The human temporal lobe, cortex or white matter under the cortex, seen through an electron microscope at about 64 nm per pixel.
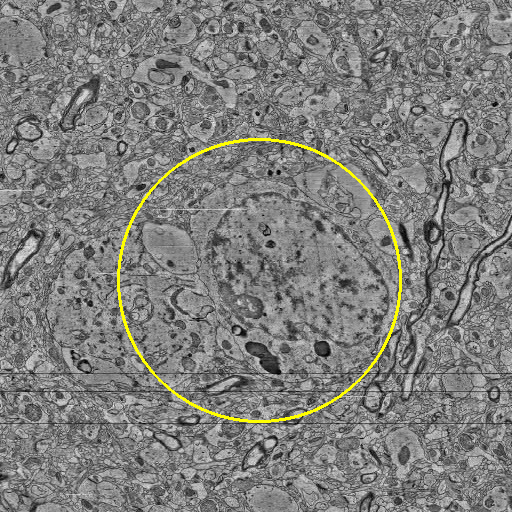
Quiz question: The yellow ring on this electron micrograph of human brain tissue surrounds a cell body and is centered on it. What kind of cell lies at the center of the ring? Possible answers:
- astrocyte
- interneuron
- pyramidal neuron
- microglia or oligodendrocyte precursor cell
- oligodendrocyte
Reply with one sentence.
The ring's center lies on an interneuron.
